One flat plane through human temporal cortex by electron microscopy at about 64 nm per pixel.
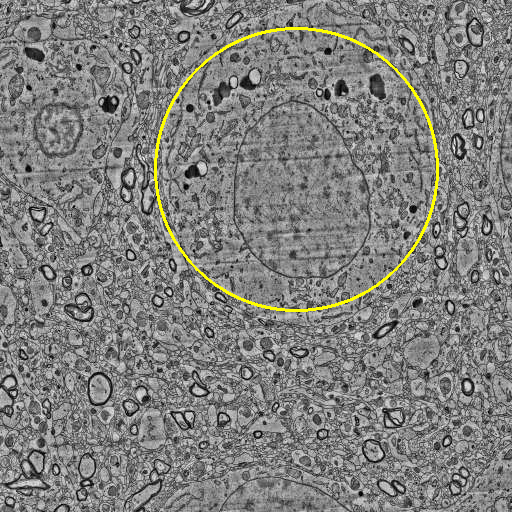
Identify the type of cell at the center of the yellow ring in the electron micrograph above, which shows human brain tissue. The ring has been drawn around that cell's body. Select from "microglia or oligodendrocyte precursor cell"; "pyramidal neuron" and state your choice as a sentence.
The yellow ring is centered on the body of a pyramidal neuron.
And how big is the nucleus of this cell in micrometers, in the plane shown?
The nucleus has a long axis of about 11 micrometres and a short axis of about 9 micrometres in this plane.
